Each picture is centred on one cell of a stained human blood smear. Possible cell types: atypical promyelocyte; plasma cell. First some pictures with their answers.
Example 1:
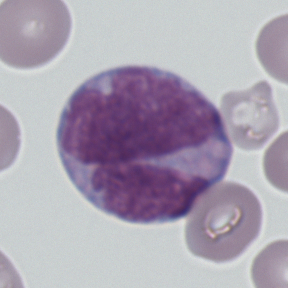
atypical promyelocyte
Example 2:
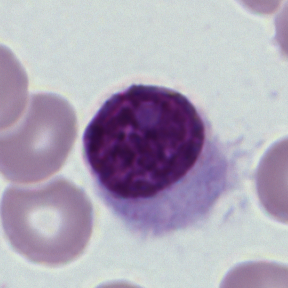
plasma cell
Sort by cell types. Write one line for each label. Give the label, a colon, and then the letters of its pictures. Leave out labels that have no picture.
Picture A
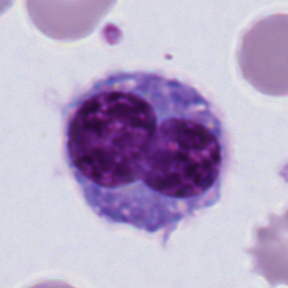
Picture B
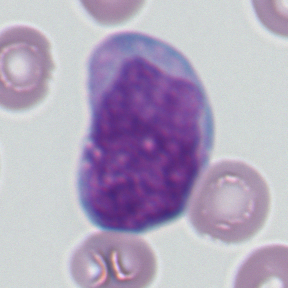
atypical promyelocyte: B
plasma cell: A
